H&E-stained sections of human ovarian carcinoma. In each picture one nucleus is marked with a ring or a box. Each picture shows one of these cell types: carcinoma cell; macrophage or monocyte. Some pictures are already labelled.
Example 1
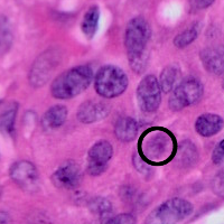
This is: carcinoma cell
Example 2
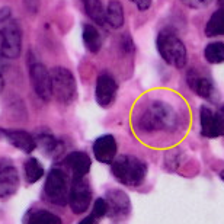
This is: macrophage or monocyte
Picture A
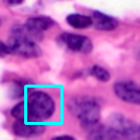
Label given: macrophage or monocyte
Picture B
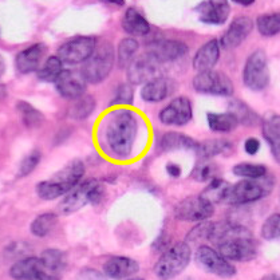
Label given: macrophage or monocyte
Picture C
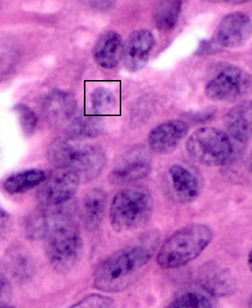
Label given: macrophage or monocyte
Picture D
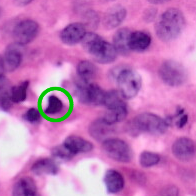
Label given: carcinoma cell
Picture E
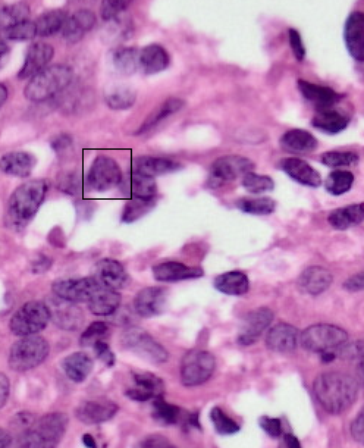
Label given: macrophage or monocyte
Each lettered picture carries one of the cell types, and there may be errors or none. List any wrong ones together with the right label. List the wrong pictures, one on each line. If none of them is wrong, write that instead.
A is labelled macrophage or monocyte; correct label: carcinoma cell
E is labelled macrophage or monocyte; correct label: carcinoma cell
